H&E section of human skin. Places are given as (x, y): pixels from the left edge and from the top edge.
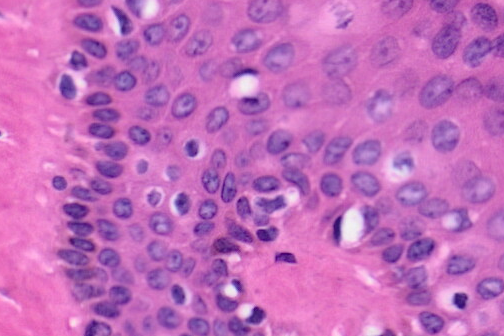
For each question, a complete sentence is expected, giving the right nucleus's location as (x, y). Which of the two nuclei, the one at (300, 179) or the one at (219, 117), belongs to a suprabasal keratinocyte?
Between the pair, the nucleus at (219, 117) belongs to a suprabasal keratinocyte.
